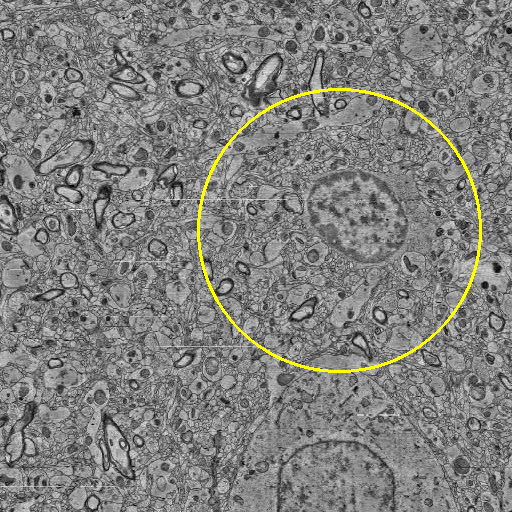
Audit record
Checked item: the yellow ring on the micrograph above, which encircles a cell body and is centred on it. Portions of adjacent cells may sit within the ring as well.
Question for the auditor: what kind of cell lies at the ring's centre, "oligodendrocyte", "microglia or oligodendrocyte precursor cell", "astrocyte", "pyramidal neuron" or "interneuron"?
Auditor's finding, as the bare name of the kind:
oligodendrocyte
